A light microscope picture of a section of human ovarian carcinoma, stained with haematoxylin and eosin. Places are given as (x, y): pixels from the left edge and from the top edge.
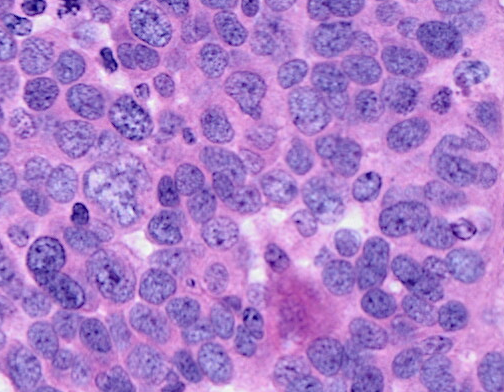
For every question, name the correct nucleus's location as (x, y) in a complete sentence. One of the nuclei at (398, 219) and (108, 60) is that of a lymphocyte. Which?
Between the two nuclei, the one sitting at (108, 60) belongs to a lymphocyte.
